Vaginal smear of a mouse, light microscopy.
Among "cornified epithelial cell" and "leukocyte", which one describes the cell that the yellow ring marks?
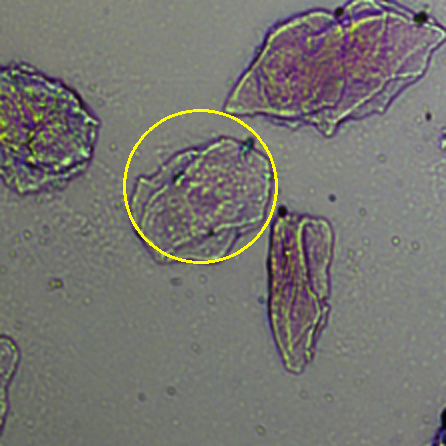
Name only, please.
cornified epithelial cell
